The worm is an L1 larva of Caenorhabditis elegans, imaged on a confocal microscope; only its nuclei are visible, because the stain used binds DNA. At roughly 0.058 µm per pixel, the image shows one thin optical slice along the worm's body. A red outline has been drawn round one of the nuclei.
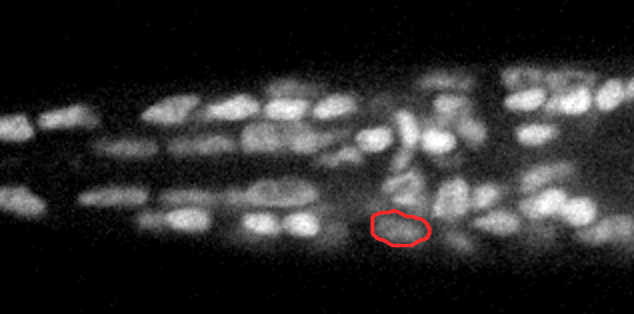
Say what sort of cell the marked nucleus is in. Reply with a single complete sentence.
It belongs to a body wall muscle cell.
